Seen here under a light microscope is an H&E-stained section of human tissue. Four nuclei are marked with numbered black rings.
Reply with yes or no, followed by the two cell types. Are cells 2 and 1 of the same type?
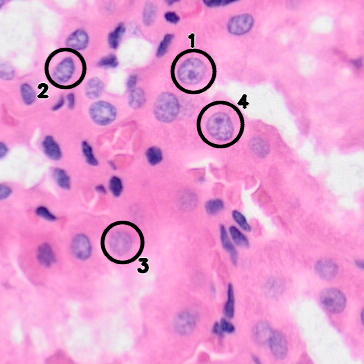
No, rather, cell 2 is a collecting duct cell and cell 1 is a proximal tubule cell.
